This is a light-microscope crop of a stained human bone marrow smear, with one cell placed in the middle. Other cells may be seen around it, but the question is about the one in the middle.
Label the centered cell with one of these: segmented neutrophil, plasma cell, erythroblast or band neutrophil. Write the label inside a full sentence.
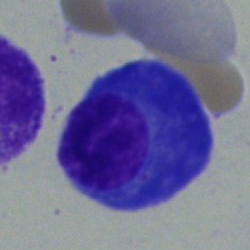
The cell in the middle of this crop is a plasma cell.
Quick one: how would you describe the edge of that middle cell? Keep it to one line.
The membrane contour is even and smooth, with nothing projecting from it.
